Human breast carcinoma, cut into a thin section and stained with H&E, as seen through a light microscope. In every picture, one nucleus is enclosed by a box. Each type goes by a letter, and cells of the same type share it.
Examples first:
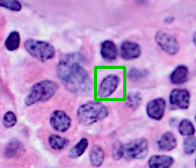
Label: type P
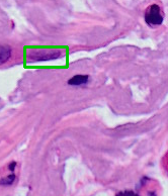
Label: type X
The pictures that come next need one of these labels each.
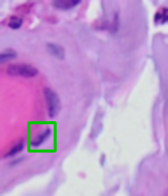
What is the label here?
type X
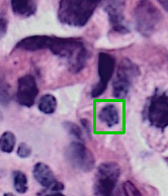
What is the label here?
type P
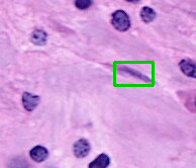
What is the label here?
type X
